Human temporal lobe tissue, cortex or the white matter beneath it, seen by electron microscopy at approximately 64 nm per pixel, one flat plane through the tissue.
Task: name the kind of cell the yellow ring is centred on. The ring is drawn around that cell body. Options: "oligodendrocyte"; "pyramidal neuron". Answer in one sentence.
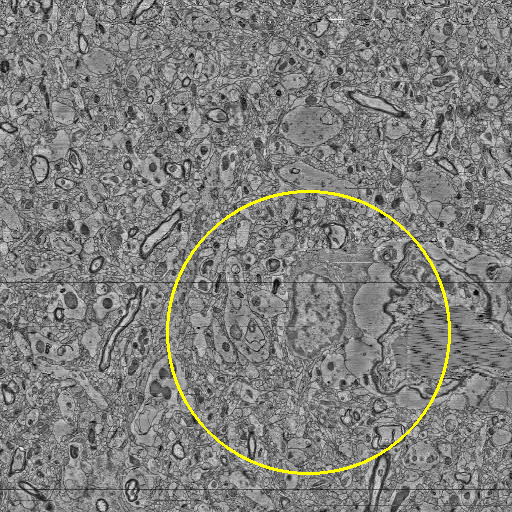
This cell body belongs to an oligodendrocyte.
